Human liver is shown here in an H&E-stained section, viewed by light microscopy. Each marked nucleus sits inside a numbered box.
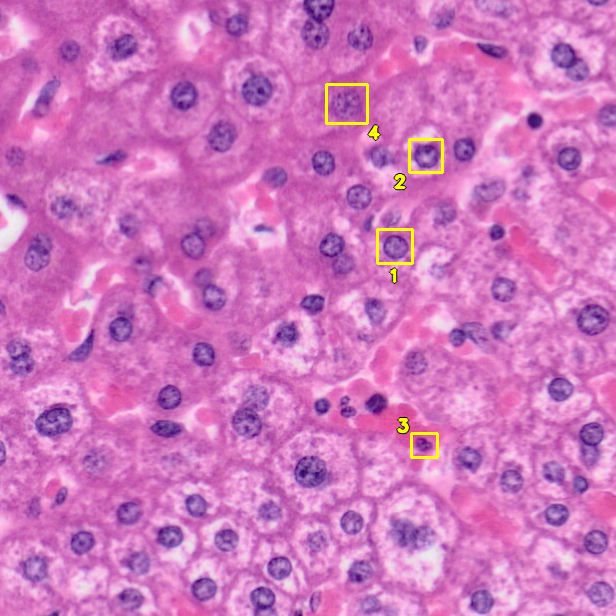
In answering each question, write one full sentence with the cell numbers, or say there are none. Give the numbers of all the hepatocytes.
The cells to which the numbers 1, 2 and 4 refer are hepatocytes.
